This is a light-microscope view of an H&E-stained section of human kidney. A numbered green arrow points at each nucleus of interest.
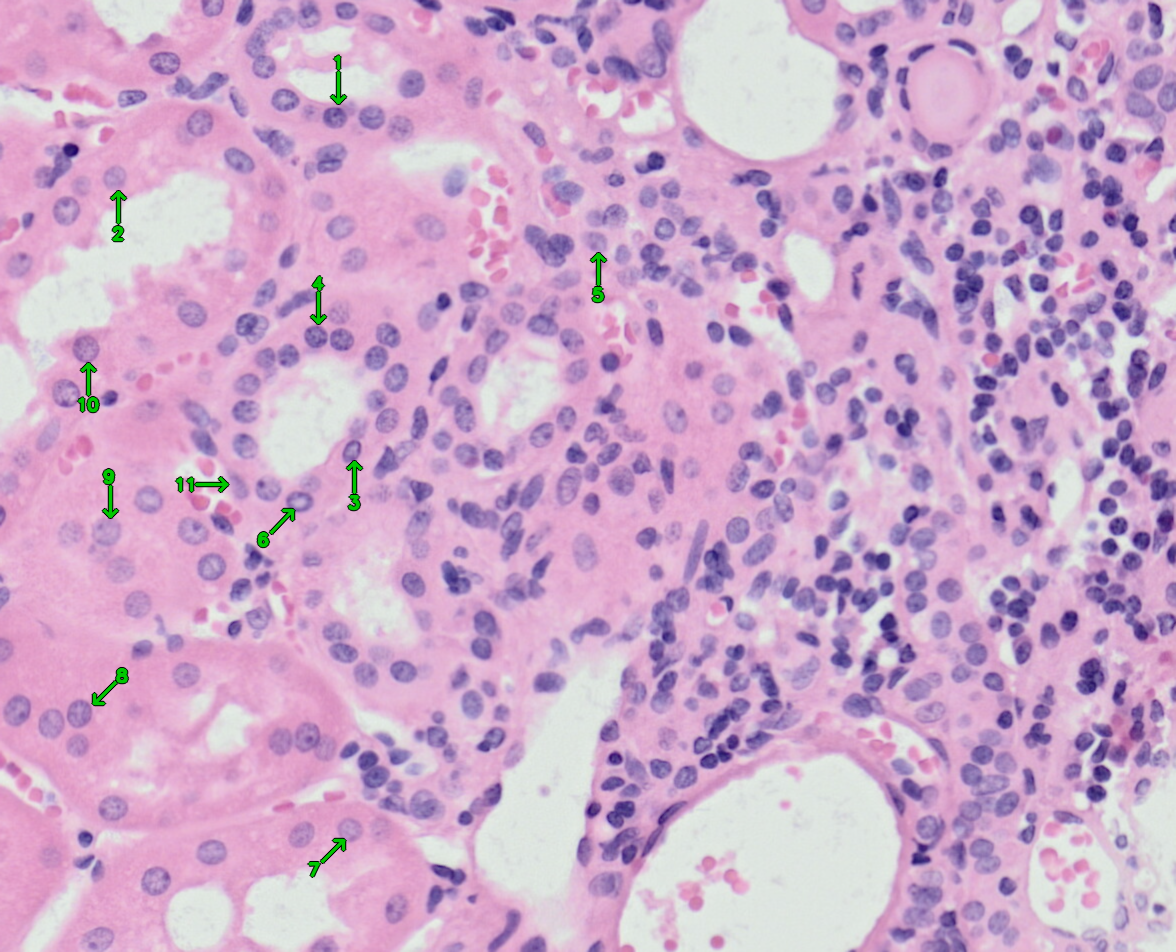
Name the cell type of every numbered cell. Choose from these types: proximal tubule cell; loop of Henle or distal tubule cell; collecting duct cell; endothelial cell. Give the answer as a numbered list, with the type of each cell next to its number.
1. collecting duct cell
2. proximal tubule cell
3. collecting duct cell
4. collecting duct cell
5. collecting duct cell
6. collecting duct cell
7. proximal tubule cell
8. proximal tubule cell
9. proximal tubule cell
10. proximal tubule cell
11. collecting duct cell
